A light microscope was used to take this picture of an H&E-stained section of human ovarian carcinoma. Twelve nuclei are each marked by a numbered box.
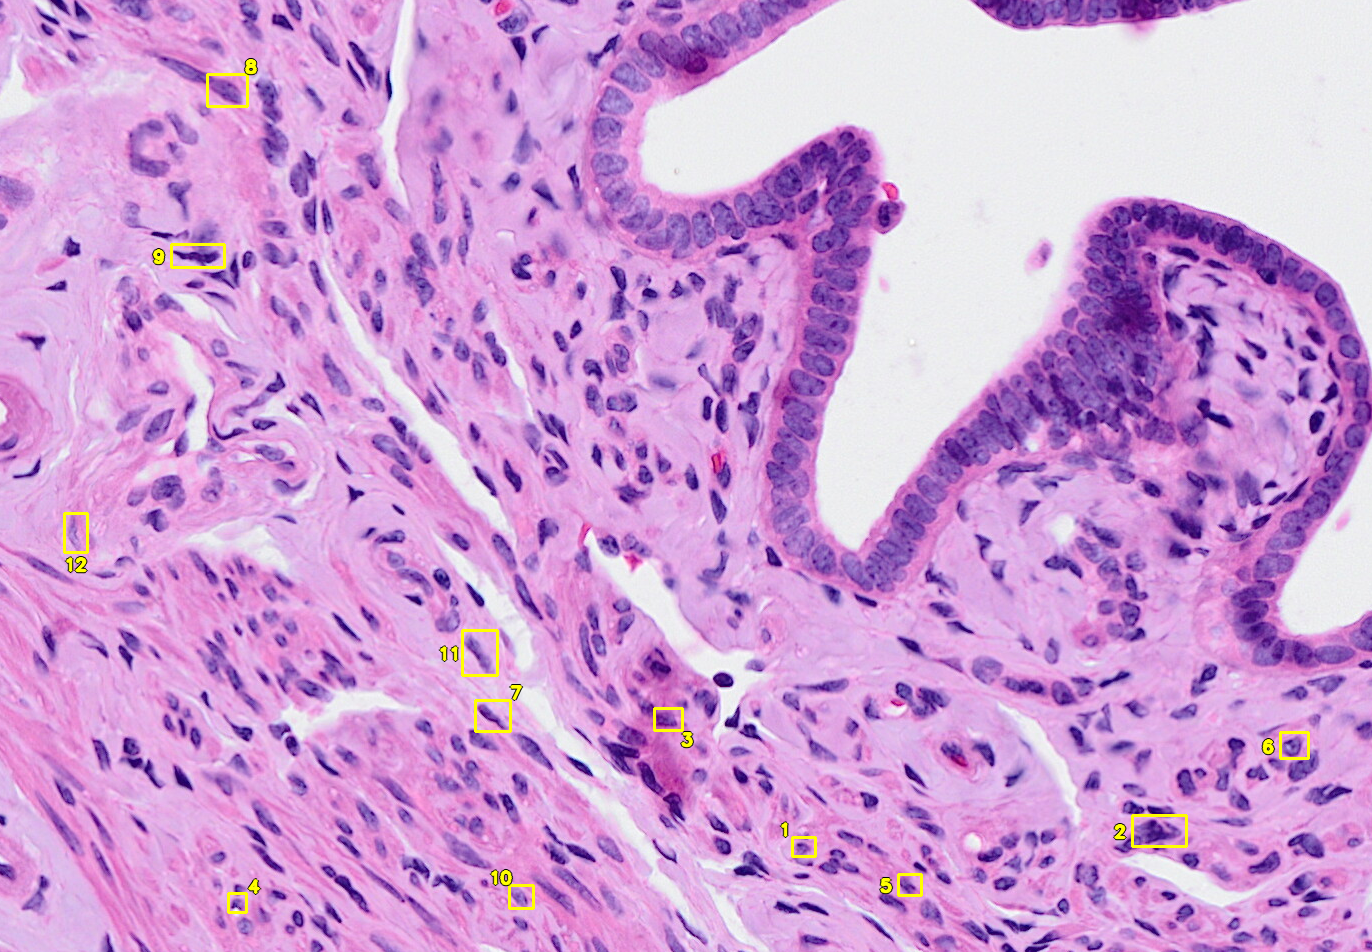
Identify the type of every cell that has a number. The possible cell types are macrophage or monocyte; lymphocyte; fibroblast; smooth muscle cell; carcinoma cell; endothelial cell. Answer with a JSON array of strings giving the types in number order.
["smooth muscle cell", "endothelial cell", "smooth muscle cell", "smooth muscle cell", "smooth muscle cell", "endothelial cell", "fibroblast", "smooth muscle cell", "fibroblast", "smooth muscle cell", "fibroblast", "smooth muscle cell"]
